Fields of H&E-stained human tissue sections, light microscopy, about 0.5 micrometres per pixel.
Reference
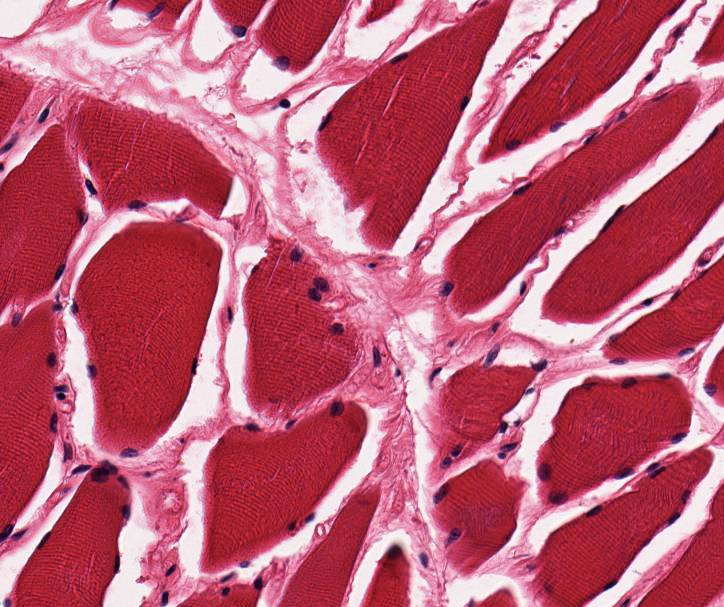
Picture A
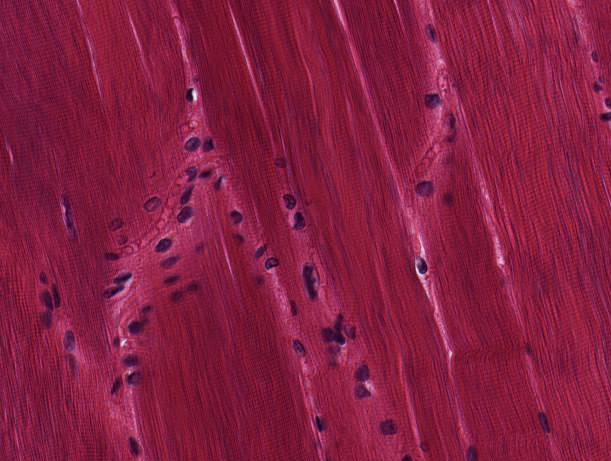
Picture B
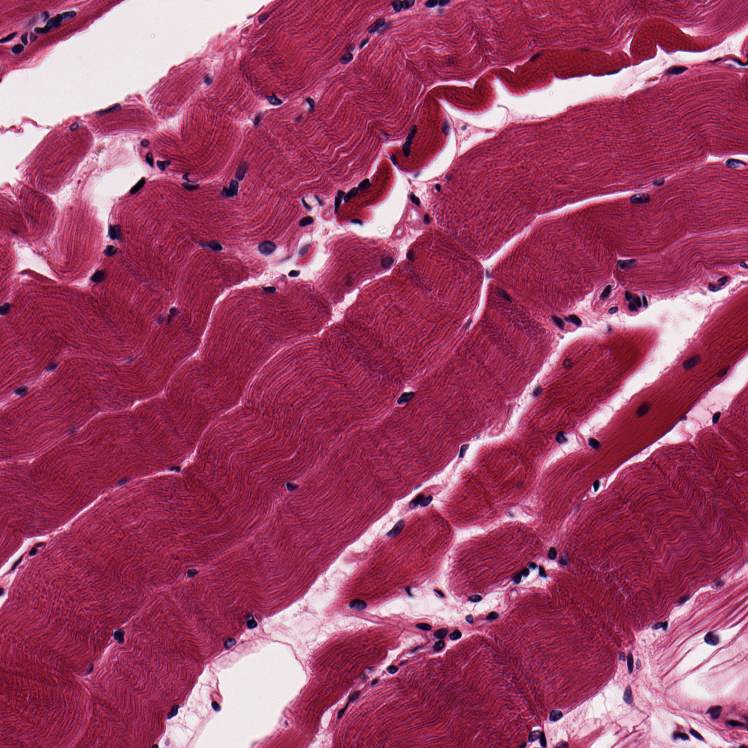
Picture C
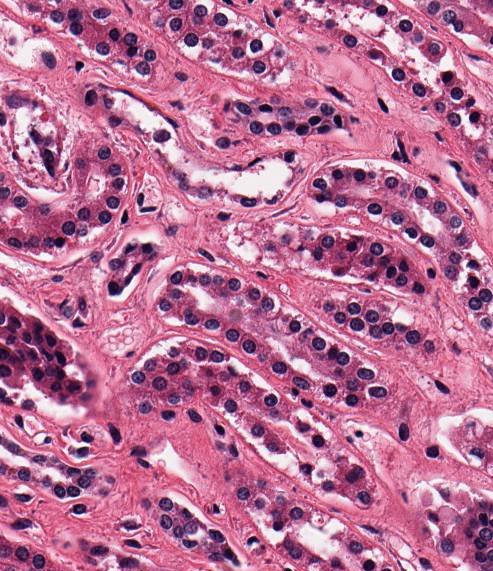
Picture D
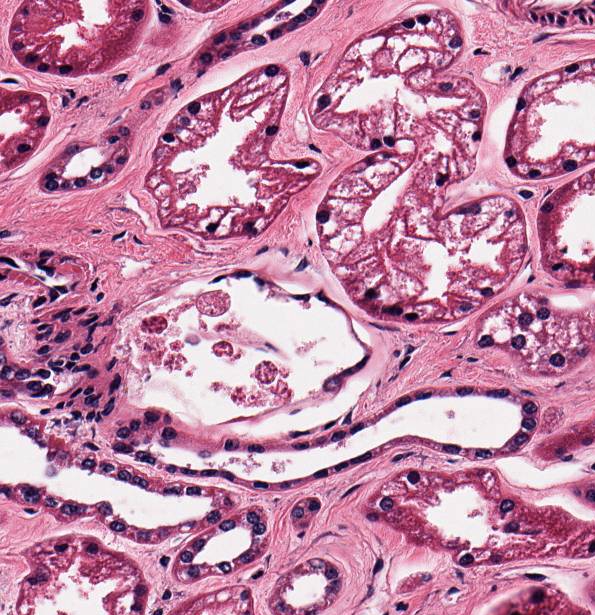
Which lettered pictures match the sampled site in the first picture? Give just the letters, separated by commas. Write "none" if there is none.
A, B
